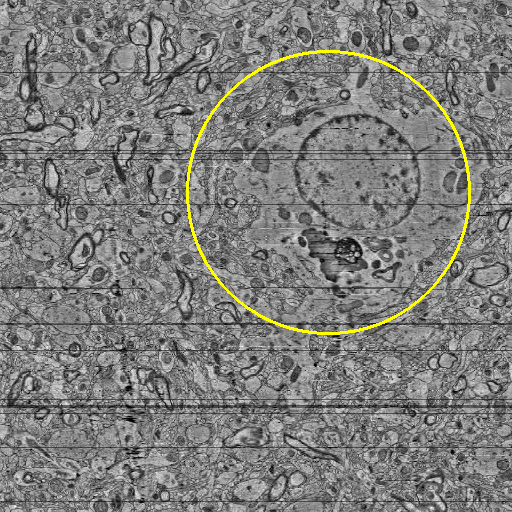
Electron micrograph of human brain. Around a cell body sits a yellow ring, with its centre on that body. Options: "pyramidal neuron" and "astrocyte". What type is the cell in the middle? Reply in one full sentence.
The cell sitting at the centre of the yellow ring is an astrocyte.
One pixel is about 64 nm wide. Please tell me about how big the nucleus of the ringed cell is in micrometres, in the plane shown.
The nucleus measures about 8 micrometers across in this plane.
